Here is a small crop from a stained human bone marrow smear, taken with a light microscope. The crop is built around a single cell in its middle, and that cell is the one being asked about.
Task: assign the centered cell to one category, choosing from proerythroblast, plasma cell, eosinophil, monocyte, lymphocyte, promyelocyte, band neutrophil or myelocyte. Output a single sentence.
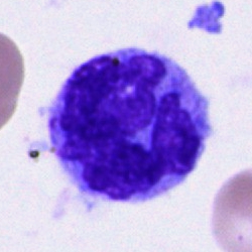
The crop centres on a single cell, and that cell is a monocyte.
